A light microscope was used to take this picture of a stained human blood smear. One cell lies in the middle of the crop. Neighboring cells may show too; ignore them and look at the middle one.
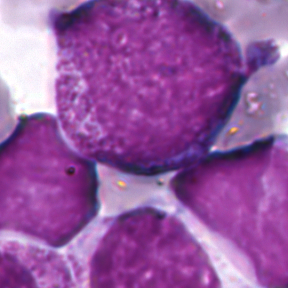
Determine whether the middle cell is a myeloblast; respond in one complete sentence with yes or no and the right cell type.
No, the middle of the crop holds a promyelocyte, not a myeloblast.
